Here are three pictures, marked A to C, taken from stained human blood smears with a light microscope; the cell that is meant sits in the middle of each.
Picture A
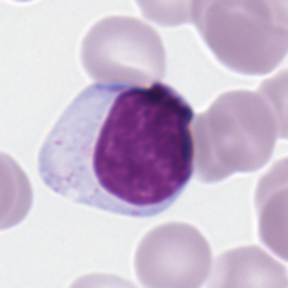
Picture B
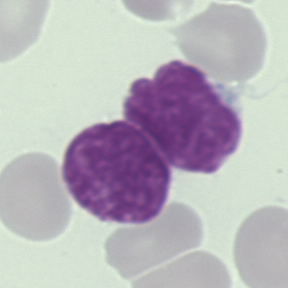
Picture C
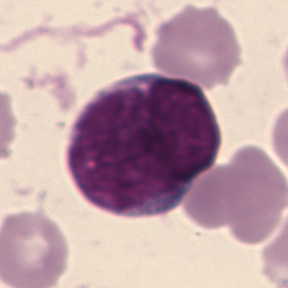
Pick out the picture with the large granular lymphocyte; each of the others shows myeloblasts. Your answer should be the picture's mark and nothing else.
A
